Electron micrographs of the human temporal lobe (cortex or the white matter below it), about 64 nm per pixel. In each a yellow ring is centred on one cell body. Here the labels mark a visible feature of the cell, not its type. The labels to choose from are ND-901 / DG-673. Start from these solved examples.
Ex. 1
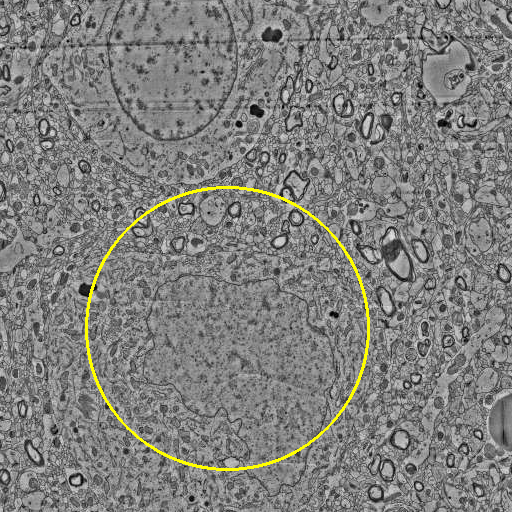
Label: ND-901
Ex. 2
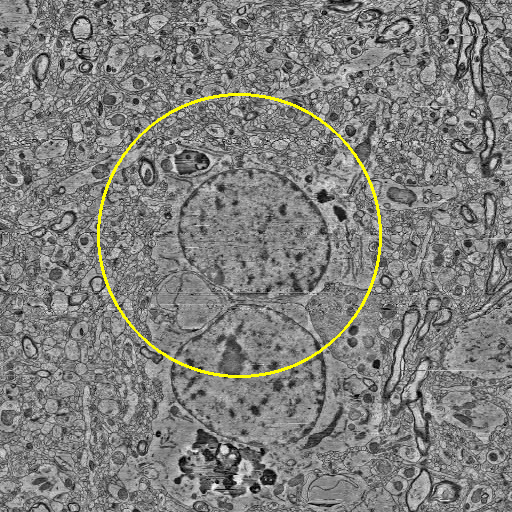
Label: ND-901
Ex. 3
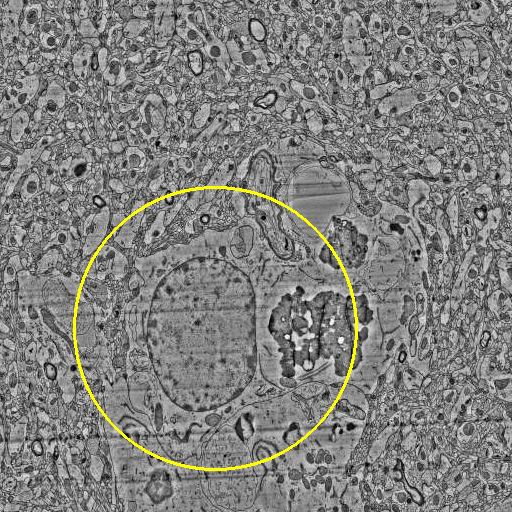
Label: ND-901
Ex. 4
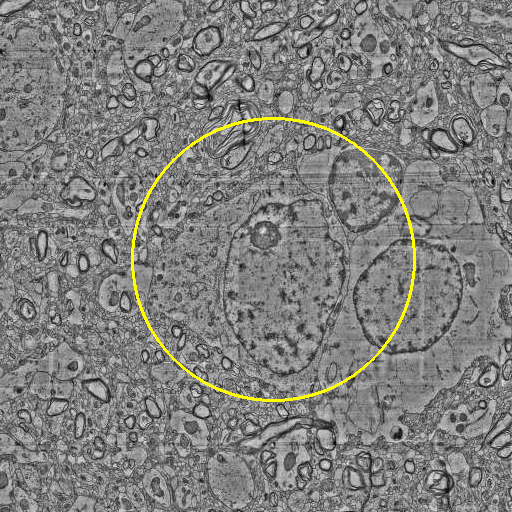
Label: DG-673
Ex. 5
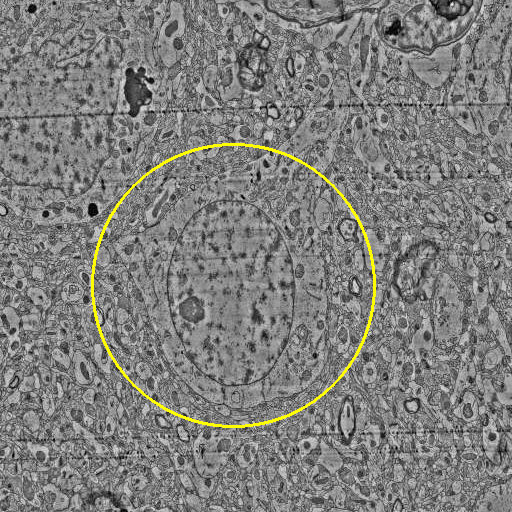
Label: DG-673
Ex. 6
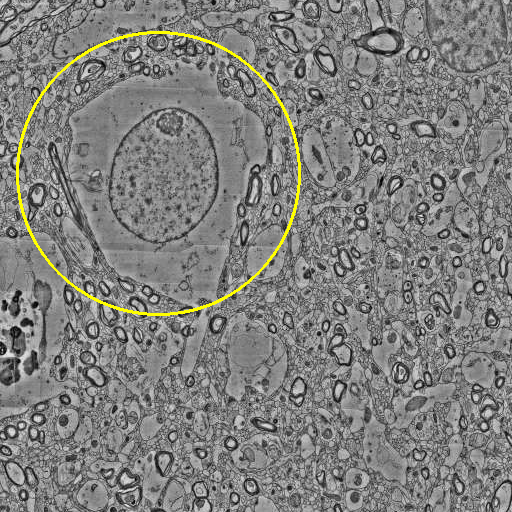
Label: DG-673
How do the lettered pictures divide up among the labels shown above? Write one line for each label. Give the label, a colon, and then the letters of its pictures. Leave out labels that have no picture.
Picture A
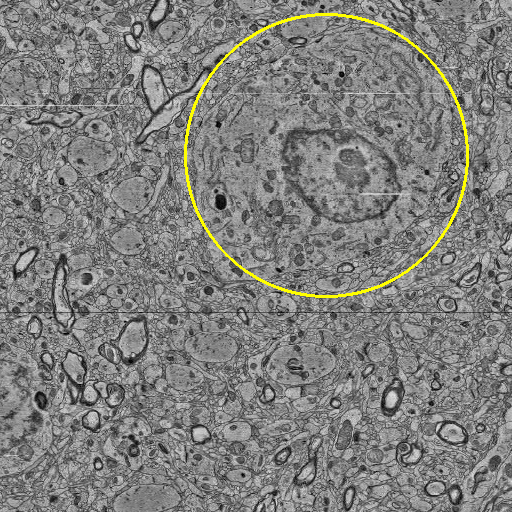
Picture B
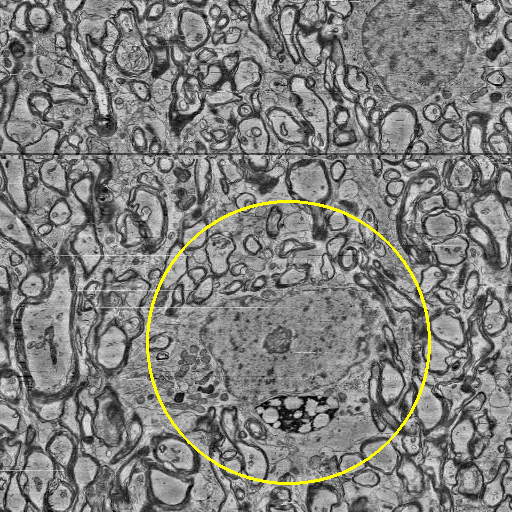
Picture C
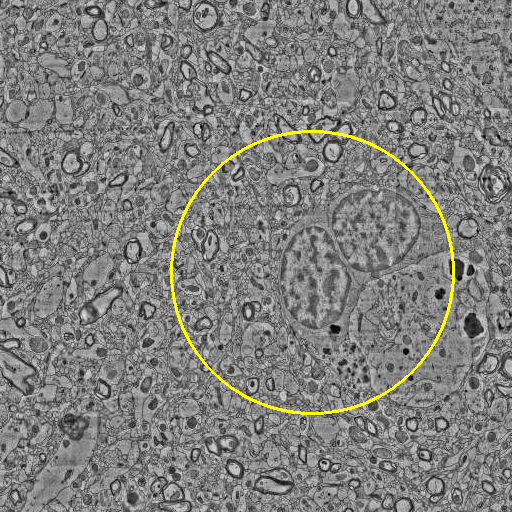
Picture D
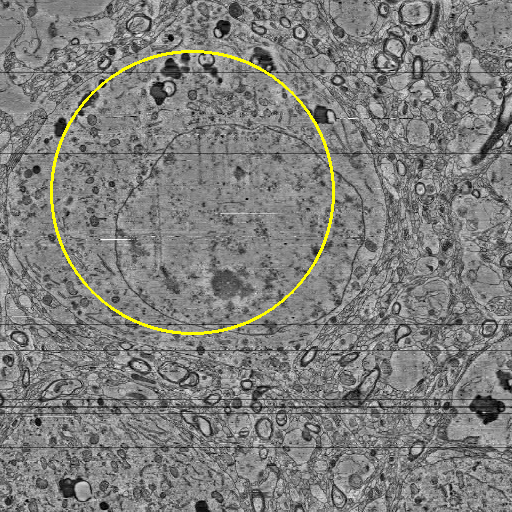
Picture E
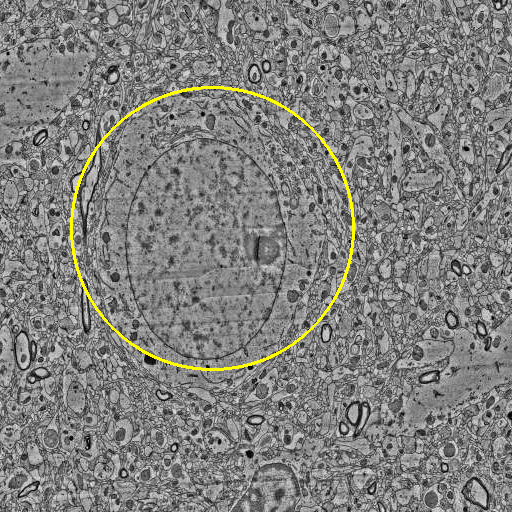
ND-901: C
DG-673: A, B, D, E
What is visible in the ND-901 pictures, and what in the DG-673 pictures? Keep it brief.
In ND-901: no nucleolus seen. In DG-673: nucleolus seen.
